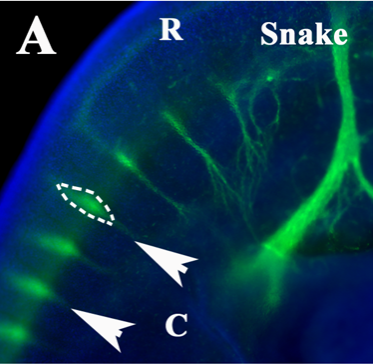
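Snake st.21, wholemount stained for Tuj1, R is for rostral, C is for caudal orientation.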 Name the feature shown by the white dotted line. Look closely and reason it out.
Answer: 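The outlined body is one of a row of similar bright green clusters repeated segmentally along the embryo. The outlined cluster is elongated, narrow at both ends. So: sensory ganglia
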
